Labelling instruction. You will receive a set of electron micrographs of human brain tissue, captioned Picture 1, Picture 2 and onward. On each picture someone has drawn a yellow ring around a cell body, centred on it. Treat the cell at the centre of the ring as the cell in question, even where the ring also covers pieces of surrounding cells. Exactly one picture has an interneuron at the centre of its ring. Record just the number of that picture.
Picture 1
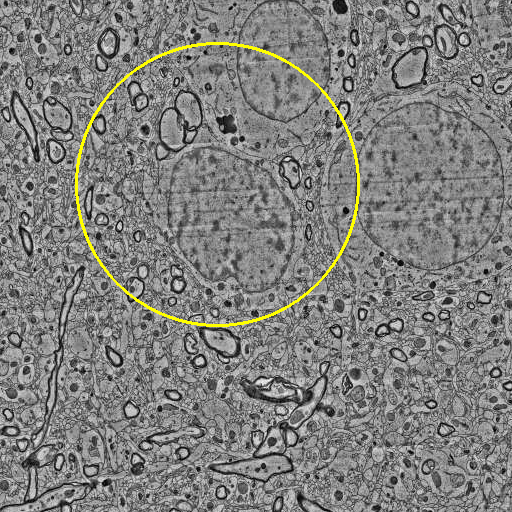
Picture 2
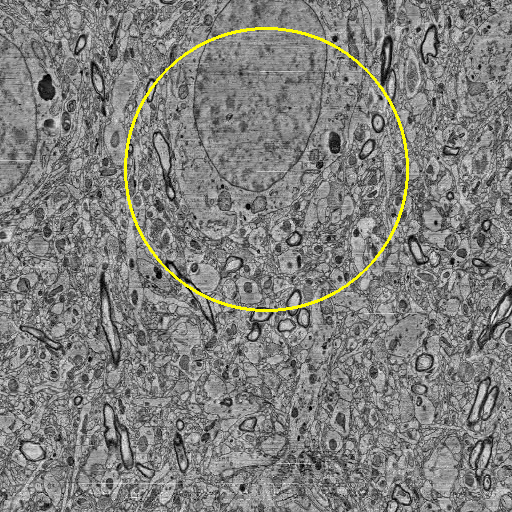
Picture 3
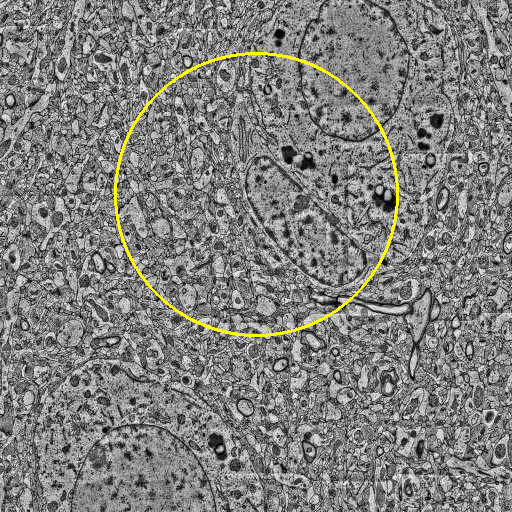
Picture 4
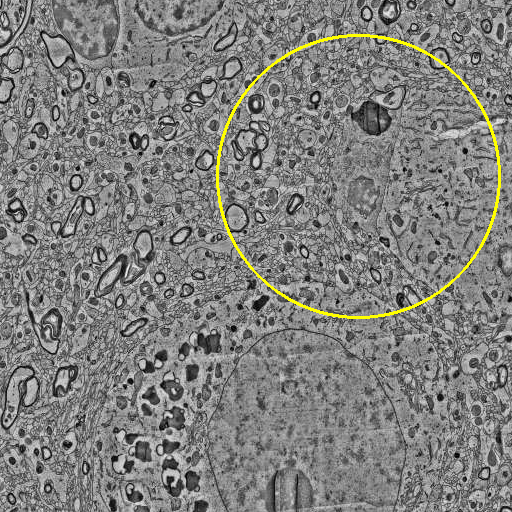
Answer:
1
